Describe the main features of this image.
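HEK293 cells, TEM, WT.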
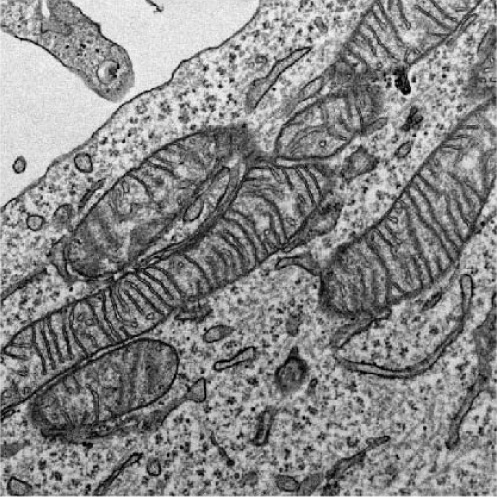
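Several elongated mitochondria lie in a finely granular cytoplasm near the cell edge, each bounded by a double membrane and packed with many regularly spaced, transverse lamellar cristae. These are well-formed mitochondria with dense, orderly cristae.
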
